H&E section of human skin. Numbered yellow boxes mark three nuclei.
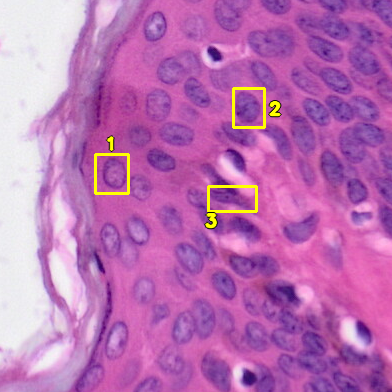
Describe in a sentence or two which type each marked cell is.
Cell 1 is a suprabasal keratinocyte, cell 2 is a basal keratinocyte and cell 3 is a basal keratinocyte.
